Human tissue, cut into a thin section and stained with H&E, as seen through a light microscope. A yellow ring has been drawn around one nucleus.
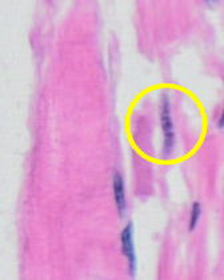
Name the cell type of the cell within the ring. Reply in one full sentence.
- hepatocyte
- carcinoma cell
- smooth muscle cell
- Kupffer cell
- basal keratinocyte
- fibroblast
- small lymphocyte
Microscopically, the cell within the ring is categorized as a fibroblast.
